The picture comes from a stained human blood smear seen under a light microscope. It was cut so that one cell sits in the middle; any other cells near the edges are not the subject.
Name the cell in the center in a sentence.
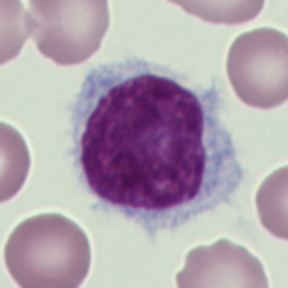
Looking at the middle of the crop, the cell there is a hairy cell.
